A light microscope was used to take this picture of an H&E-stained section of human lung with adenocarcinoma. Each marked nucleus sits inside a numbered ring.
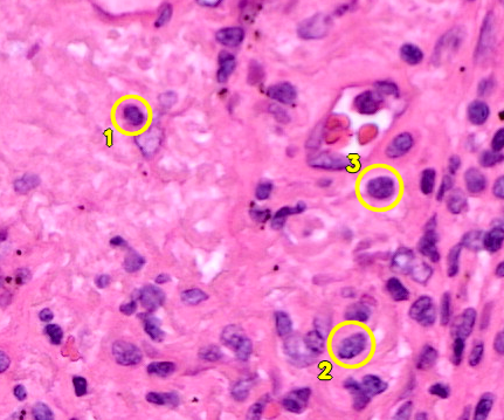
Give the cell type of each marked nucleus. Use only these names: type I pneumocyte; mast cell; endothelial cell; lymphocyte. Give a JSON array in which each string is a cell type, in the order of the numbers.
["mast cell", "lymphocyte", "lymphocyte"]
